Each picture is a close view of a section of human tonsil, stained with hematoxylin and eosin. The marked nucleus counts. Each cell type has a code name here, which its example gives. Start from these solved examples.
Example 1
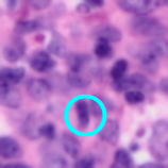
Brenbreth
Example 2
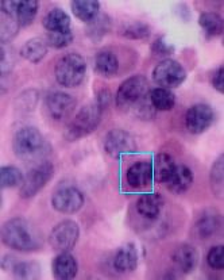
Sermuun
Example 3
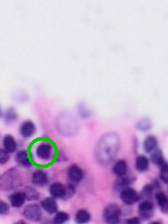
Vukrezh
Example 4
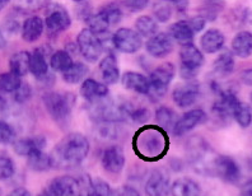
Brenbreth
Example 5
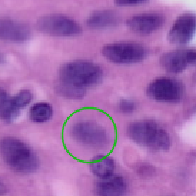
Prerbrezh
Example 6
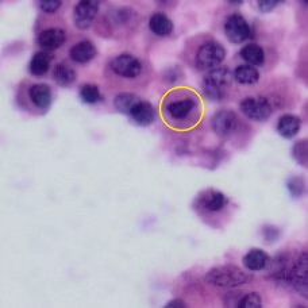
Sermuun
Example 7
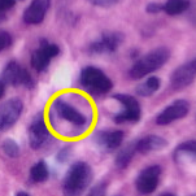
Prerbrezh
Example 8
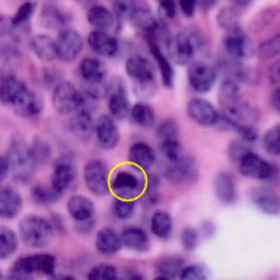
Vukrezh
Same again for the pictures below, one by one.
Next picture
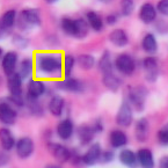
Vukrezh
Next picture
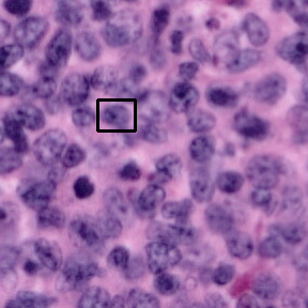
Brenbreth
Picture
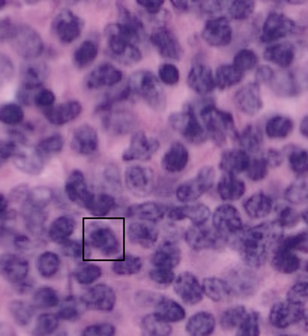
Vukrezh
